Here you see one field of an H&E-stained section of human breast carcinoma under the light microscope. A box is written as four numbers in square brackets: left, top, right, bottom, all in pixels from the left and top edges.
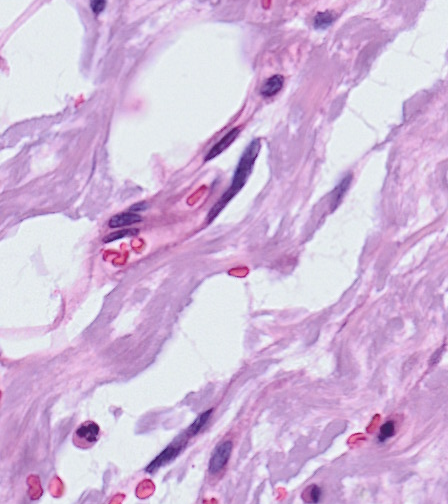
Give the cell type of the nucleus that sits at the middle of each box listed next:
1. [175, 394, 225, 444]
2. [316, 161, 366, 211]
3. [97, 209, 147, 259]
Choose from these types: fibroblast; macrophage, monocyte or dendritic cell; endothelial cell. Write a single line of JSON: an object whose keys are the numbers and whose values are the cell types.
{"1": "fibroblast", "2": "fibroblast", "3": "endothelial cell"}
